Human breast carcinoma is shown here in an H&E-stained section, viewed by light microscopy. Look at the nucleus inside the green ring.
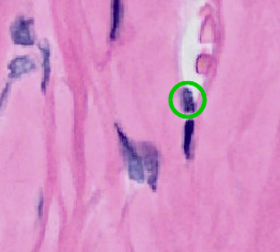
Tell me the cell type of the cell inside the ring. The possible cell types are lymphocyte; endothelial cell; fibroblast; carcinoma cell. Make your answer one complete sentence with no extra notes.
In this tissue section, the cell inside the ring is to be classed as an endothelial cell.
